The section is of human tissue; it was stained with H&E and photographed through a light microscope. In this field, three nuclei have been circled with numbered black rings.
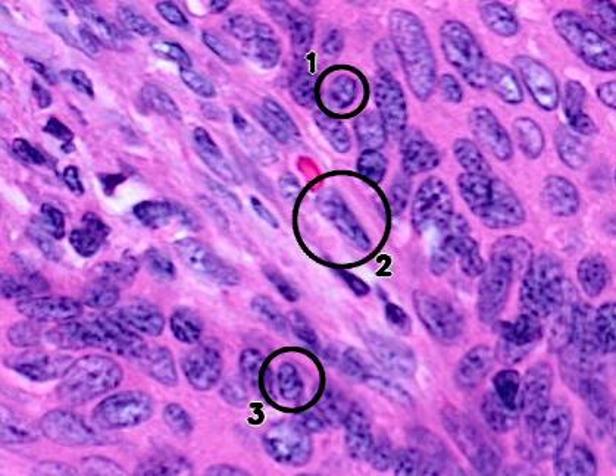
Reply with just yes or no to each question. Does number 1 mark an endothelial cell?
no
